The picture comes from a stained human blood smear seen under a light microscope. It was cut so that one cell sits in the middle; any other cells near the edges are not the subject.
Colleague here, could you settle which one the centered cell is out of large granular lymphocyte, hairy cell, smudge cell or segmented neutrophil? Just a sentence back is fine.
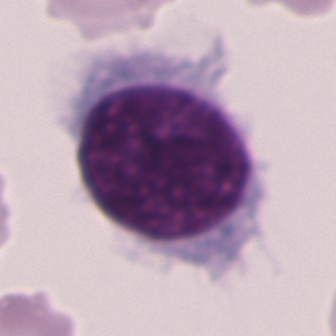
The middle position in this crop is taken by a hairy cell.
